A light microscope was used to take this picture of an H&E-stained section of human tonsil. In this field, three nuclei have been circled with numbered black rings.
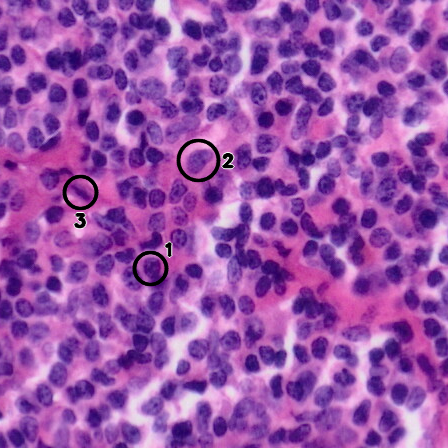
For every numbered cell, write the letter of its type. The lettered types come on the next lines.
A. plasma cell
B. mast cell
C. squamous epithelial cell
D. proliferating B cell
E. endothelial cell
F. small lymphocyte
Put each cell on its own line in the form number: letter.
1: A
2: E
3: E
